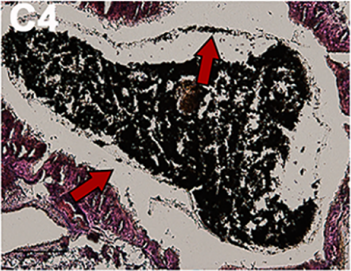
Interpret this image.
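The lumen is filled by a large, dark, coarsely granular mass of gut contents. A thin, continuous layer follows the outline of this mass and is separated by a pale, clear space from the gut wall. The wall itself is a thin, pink-purple epithelial lining thrown into small folds and projections. The cells of the epithelium are too small here to be told apart one by one.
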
